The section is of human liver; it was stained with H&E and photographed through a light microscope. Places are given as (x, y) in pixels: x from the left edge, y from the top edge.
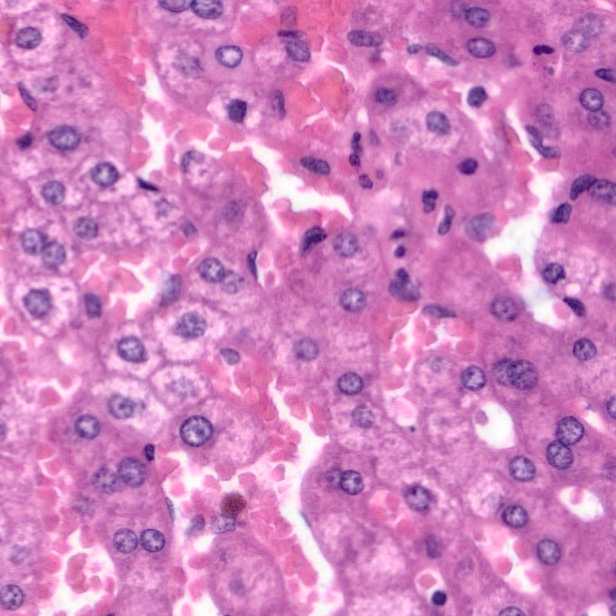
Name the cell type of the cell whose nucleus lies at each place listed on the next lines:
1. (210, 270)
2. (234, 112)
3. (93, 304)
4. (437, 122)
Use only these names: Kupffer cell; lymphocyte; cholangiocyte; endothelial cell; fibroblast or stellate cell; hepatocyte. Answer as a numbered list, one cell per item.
1. hepatocyte
2. hepatocyte
3. Kupffer cell
4. hepatocyte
